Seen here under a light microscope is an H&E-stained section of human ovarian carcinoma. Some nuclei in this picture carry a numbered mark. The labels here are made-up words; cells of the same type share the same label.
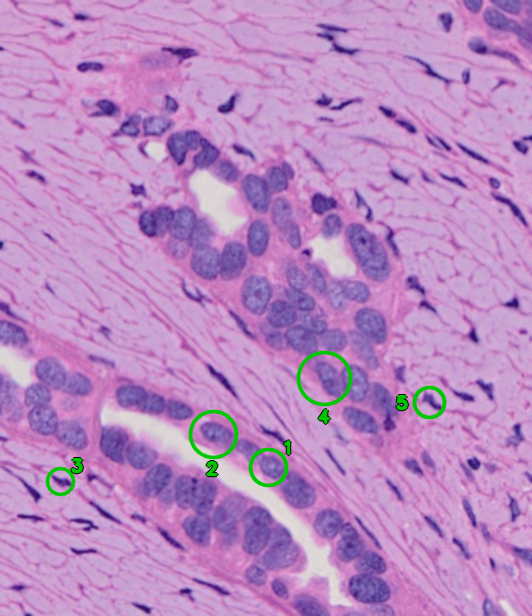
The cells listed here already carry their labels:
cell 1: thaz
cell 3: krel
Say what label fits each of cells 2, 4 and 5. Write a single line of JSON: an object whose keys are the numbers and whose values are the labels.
{"2": "thaz", "4": "thaz", "5": "krel"}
